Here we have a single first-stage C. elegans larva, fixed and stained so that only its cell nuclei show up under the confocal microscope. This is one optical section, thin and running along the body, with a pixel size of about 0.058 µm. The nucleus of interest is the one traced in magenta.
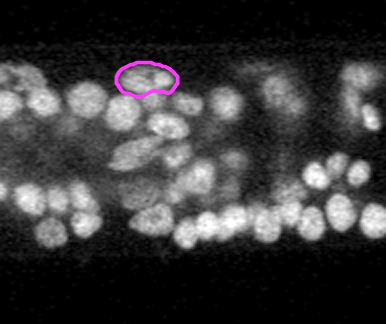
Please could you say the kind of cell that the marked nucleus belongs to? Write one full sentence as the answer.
The nucleus comes from a body wall muscle cell.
